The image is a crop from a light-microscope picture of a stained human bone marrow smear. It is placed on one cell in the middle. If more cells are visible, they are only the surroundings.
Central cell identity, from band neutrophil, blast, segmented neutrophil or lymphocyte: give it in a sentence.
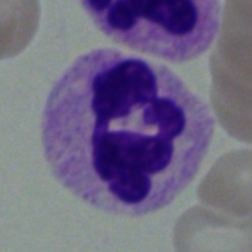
The cell of interest, in the center, is a segmented neutrophil.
